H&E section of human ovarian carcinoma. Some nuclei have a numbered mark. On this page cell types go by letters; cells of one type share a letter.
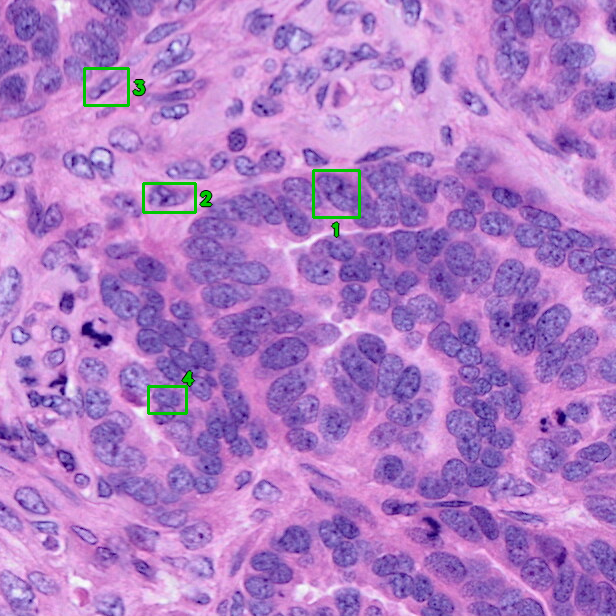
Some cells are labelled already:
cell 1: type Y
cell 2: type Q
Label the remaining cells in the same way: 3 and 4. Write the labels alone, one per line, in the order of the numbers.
type Q
type Y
